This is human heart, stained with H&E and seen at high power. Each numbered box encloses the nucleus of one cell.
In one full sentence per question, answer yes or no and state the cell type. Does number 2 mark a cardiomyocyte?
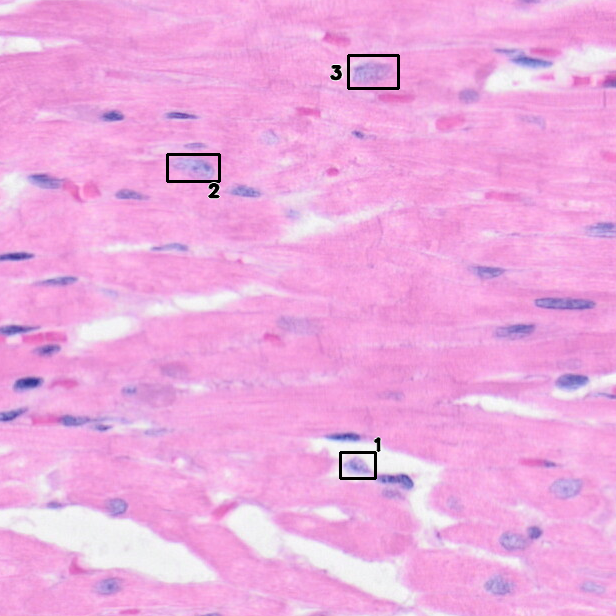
Yes, that is so; number 2 marks a cardiomyocyte.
